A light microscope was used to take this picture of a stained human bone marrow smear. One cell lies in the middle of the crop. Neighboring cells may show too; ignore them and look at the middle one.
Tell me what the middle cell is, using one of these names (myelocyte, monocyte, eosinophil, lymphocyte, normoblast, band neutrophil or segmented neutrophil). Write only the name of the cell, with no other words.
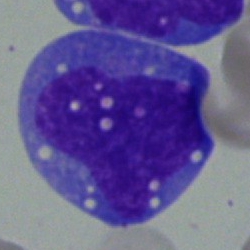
monocyte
